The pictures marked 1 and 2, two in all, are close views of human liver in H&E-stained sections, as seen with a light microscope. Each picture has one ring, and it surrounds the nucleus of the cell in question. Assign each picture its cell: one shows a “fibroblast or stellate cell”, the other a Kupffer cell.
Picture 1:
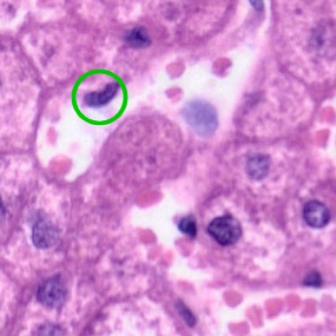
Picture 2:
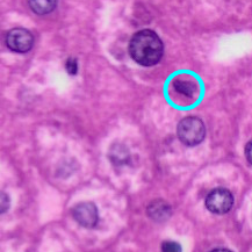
1: Kupffer cell
2: fibroblast or stellate cell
